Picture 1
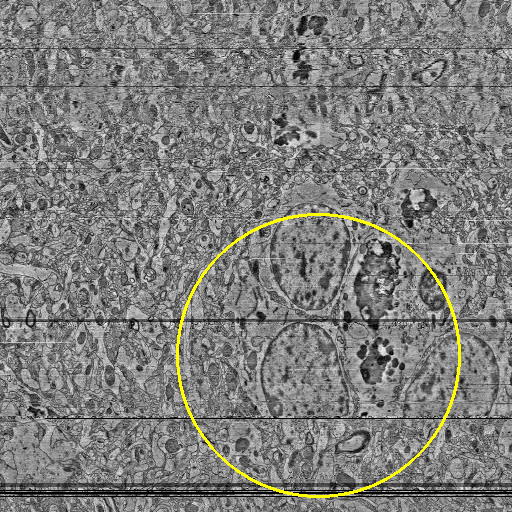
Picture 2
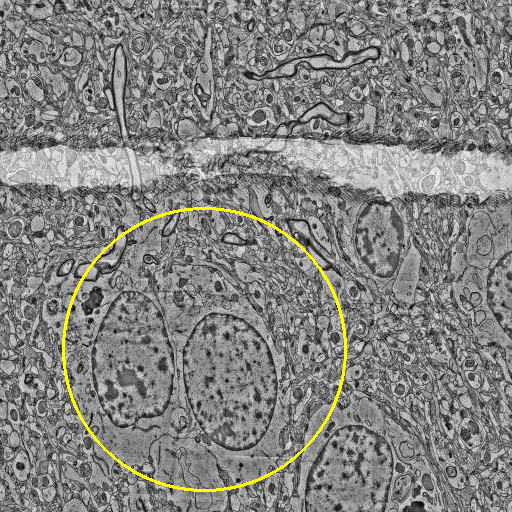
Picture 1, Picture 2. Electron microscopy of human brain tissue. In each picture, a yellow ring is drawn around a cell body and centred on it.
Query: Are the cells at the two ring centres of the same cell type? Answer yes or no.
yes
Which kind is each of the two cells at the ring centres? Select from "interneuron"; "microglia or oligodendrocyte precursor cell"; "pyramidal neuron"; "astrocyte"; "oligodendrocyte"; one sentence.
Both cells are the same kind, each one being an astrocyte.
